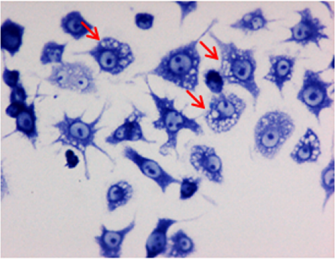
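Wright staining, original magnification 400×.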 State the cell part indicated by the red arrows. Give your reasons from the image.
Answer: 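The arrows point to cells whose cytoplasm is filled with many clear round vacuoles. The vacuoles give the cytoplasm a foamy look around a central nucleus. The answer: cytoplasmic vesicles.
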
